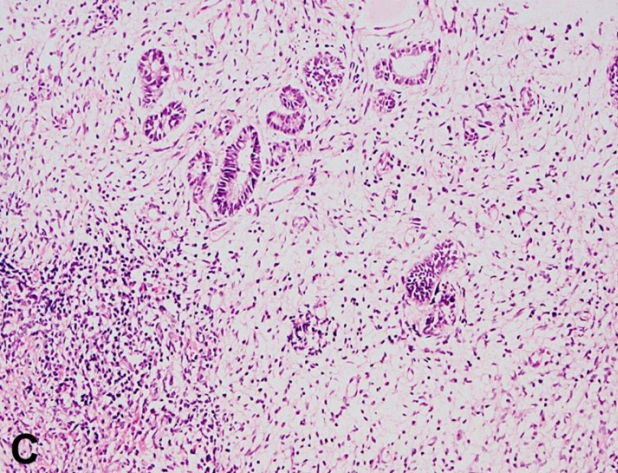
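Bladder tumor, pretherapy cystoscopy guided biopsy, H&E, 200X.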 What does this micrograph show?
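Toward the lower left the tissue becomes denser, with many small dark nuclei packed closely together. The tubules are unevenly spaced, clustered mainly in the upper middle part of the field.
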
